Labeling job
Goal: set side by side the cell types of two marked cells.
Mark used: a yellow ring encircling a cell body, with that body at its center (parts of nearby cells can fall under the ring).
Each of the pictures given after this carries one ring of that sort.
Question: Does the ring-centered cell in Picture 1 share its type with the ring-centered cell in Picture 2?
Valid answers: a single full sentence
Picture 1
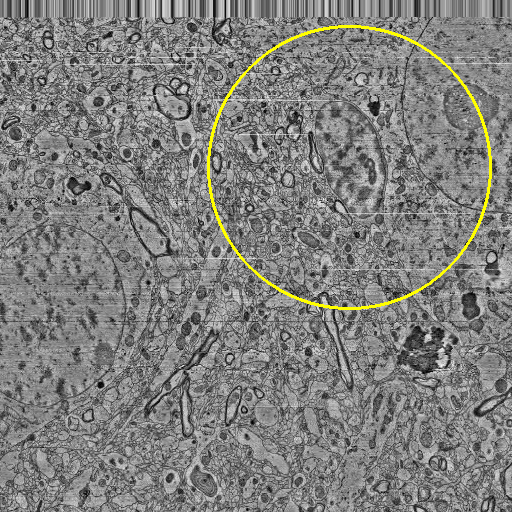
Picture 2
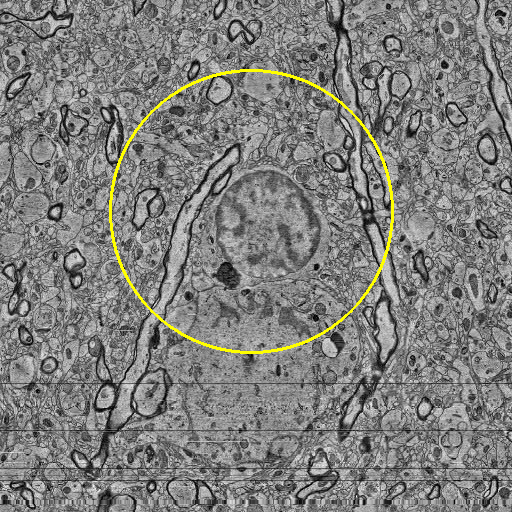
Yes, in Pictures 1 and 2 the cells at the ring centers share one type.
